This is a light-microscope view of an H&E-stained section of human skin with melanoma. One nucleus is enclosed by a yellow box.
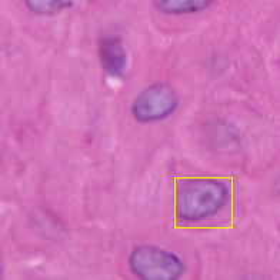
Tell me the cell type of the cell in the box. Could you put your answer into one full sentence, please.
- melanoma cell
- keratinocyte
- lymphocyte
The identity of the cell in the box: it is a keratinocyte.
